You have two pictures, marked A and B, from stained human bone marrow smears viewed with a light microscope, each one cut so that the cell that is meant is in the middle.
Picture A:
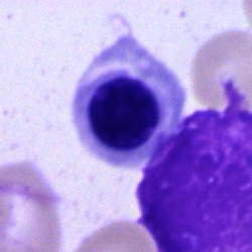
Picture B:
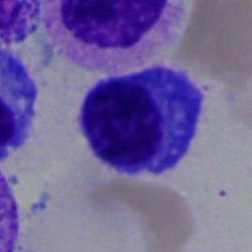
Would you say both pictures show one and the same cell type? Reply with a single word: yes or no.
no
